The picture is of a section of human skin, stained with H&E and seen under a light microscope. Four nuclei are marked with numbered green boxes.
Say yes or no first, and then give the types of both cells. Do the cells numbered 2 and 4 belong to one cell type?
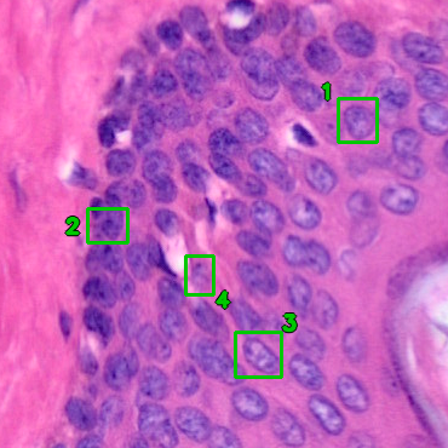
Yes, of the numbered cells, 2 and 4 are both basal keratinocytes.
